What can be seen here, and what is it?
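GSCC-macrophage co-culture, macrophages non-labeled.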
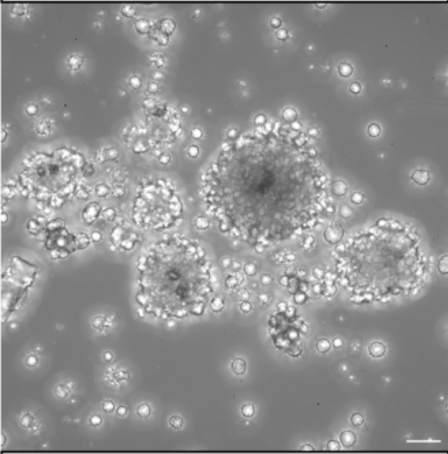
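Large rounded multicellular clusters with granular, refractile surfaces occupy the centre; the largest shows a darker, opaque core, smaller ones appear as grape-like aggregates of rounded cells. Between them many small, round, phase-bright single cells lie scattered, each with a bright halo, some resting against the cluster margins. A few irregular dark debris-like aggregates are present. Cell outlines within the large clusters are hard to resolve in the centre but visible at the edges.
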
